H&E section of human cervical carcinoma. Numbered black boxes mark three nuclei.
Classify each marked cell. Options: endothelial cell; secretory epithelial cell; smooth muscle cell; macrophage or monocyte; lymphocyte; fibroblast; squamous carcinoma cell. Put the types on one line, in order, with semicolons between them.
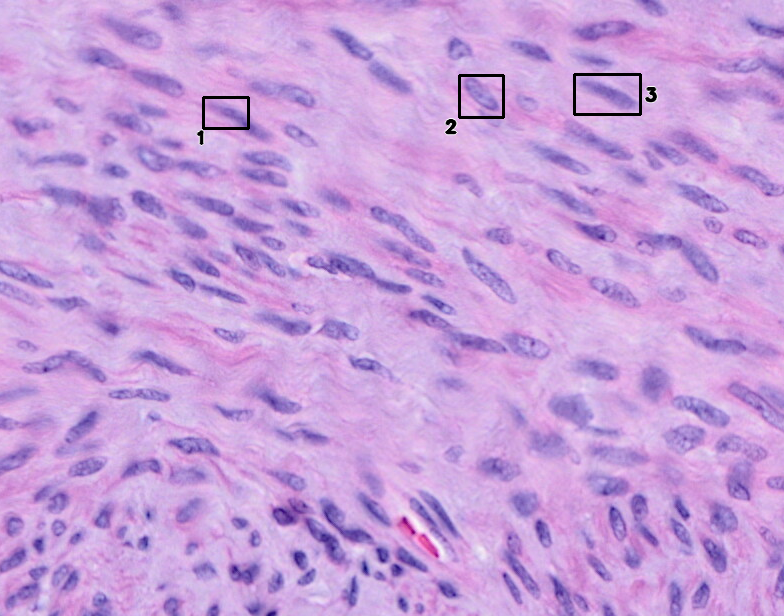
smooth muscle cell; smooth muscle cell; fibroblast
